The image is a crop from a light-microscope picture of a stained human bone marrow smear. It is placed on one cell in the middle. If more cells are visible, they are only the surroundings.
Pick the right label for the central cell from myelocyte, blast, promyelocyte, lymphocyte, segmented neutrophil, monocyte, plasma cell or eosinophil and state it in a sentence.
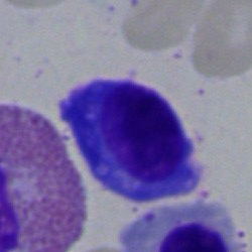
The cell at the middle of the frame should be recorded as a plasma cell.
